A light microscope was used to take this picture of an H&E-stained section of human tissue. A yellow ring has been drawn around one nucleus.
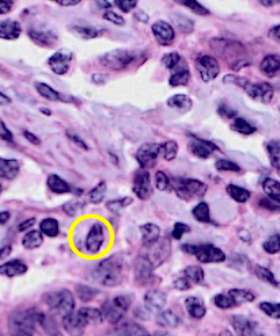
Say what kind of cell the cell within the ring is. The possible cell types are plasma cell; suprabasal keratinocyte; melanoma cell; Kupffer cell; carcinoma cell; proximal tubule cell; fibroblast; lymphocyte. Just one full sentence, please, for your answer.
In cellular terms, the cell within the ring is a lymphocyte.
